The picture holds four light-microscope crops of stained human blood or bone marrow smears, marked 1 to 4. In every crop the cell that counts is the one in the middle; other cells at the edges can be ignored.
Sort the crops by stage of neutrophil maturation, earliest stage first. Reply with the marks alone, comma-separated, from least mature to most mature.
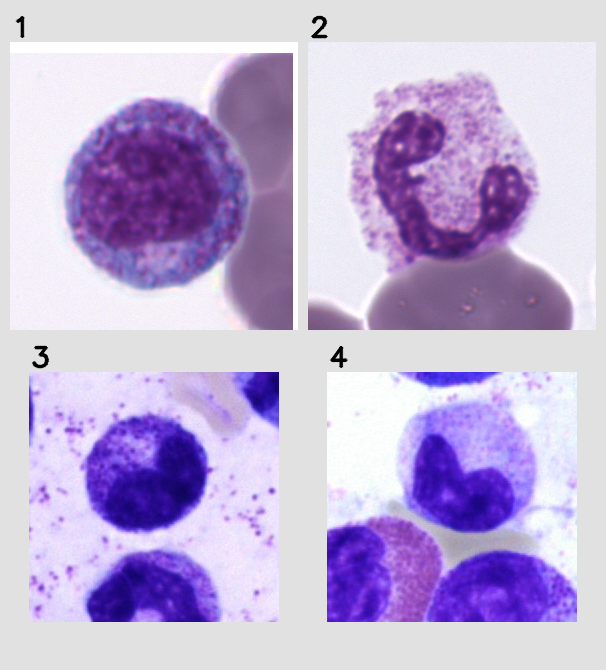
1, 3, 4, 2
